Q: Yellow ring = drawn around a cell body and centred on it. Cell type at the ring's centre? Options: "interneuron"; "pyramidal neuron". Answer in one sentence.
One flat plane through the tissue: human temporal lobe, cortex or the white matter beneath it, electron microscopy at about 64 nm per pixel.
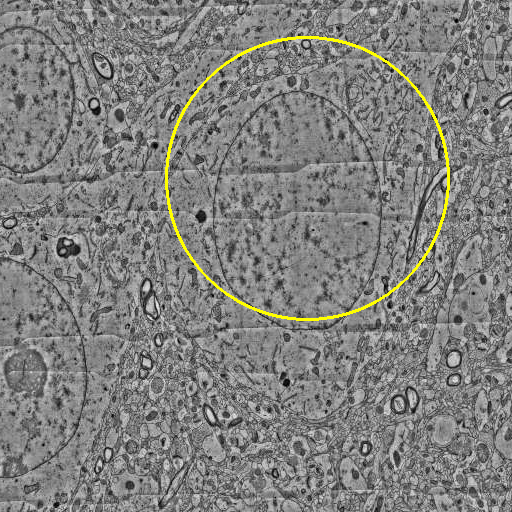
Centred in the ring is a pyramidal neuron.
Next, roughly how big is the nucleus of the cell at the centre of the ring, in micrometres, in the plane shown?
In this plane, the nucleus is roughly 15 by 11 micrometres.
